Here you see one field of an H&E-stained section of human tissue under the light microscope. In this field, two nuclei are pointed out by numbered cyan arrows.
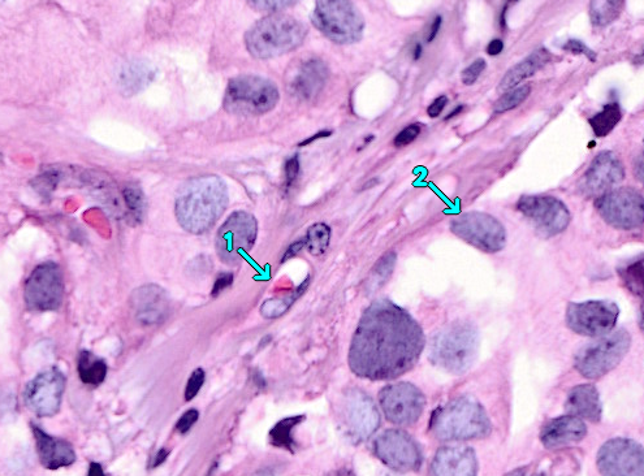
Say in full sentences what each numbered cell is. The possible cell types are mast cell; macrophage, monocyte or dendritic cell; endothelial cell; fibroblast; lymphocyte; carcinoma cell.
Cell 1 is an endothelial cell and cell 2 is a carcinoma cell.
